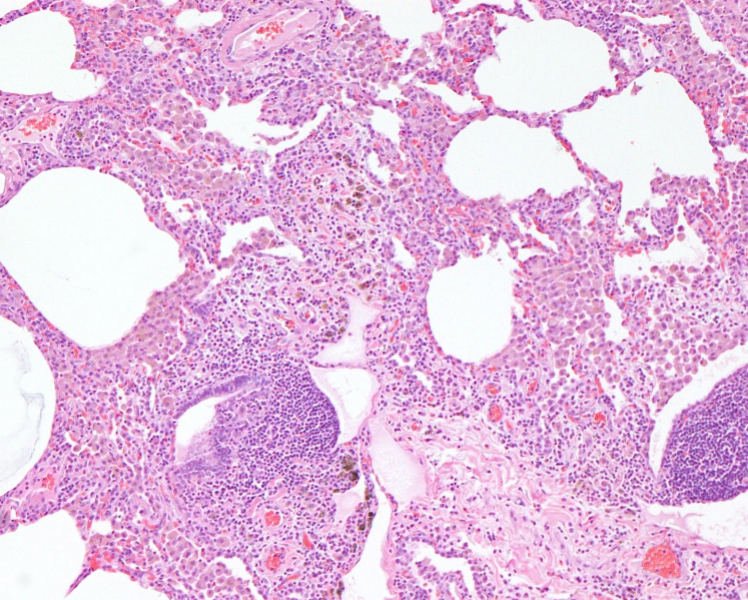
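Lung tissue with many pigmented macrophages crowding the airspaces and the tissue around the small airways. Large rounded cells with plentiful granular pink-to-tan cytoplasm and small round nuclei fill many alveoli. Clumps of coarse dark brown pigment lie in the interstitium near the centre. Alveolar walls are thickened and cellular, and several open air spaces remain at the top and left. Dense blue aggregates of small lymphocytes sit at the lower left and lower right. A band of paler pink fibrous tissue lies at the lower centre, and small vessels filled with red blood cells are scattered throughout.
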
